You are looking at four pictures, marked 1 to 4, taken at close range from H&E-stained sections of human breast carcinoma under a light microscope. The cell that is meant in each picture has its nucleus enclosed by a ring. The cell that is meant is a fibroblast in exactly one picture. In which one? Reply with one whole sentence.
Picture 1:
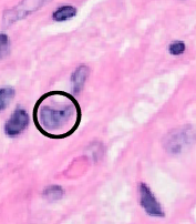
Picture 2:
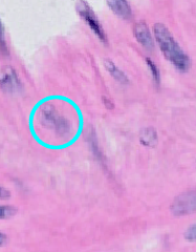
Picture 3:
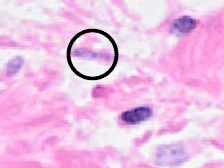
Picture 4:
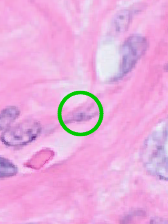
The picture with the fibroblast is 3.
